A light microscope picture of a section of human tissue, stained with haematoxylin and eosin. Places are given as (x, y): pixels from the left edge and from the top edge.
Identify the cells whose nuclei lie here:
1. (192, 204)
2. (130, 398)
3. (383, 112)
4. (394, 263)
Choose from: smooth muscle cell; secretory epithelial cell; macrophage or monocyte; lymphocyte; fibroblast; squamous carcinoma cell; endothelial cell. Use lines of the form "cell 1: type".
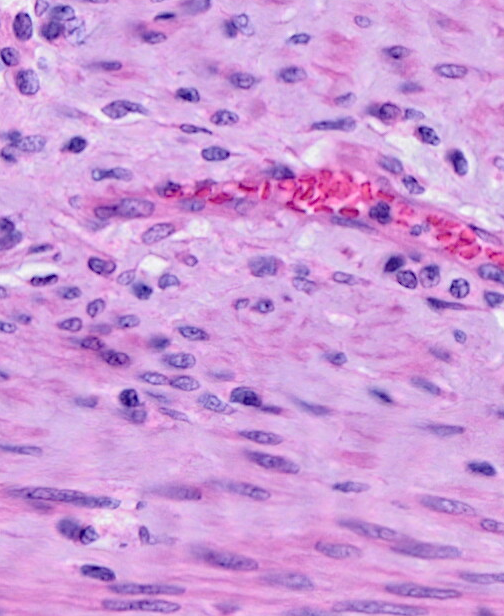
cell 1: endothelial cell
cell 2: lymphocyte
cell 3: macrophage or monocyte
cell 4: lymphocyte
